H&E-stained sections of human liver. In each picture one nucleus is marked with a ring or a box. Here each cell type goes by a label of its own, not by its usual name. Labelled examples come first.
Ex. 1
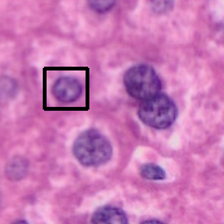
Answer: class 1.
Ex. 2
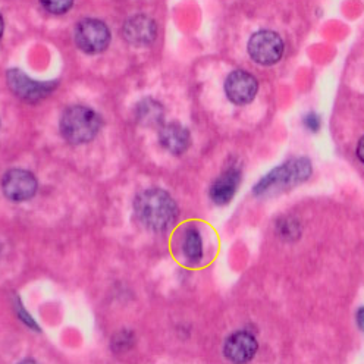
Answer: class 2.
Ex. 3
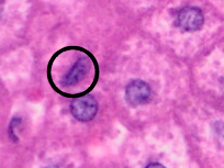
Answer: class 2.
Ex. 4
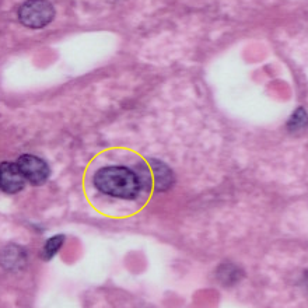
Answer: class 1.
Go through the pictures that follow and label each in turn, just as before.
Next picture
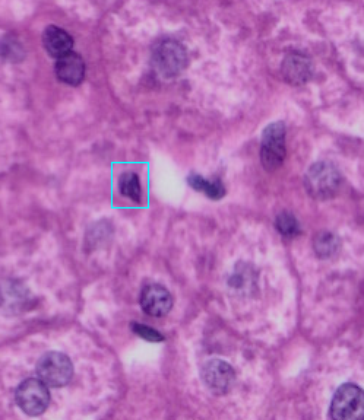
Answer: class 2.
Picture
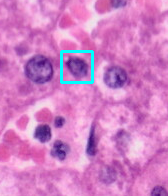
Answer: class 2.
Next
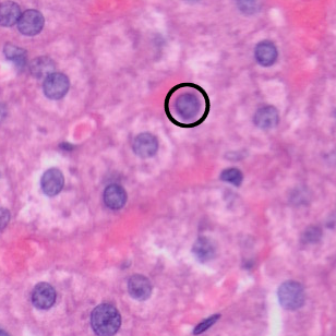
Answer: class 1.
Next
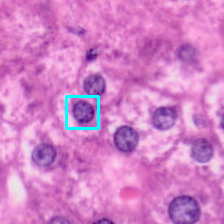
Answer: class 1.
